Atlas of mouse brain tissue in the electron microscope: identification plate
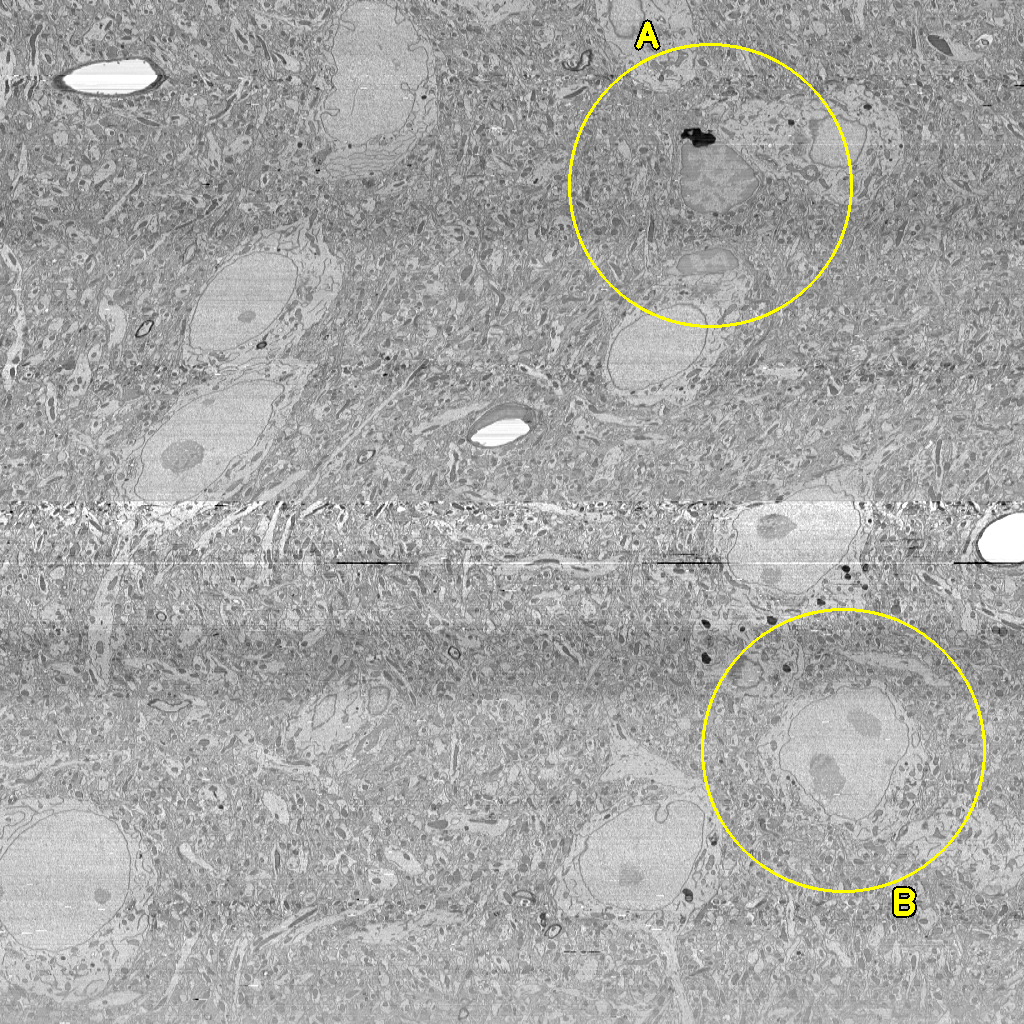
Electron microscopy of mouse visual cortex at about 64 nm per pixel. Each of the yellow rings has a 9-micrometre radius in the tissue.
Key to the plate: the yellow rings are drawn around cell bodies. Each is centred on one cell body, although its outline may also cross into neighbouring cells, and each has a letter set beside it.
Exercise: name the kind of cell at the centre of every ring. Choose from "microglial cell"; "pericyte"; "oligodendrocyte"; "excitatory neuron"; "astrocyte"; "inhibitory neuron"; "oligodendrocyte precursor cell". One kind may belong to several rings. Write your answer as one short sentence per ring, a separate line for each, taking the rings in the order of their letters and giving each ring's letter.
The centre of ring A is occupied by a microglial cell.
The centre of ring B is occupied by an excitatory neuron.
